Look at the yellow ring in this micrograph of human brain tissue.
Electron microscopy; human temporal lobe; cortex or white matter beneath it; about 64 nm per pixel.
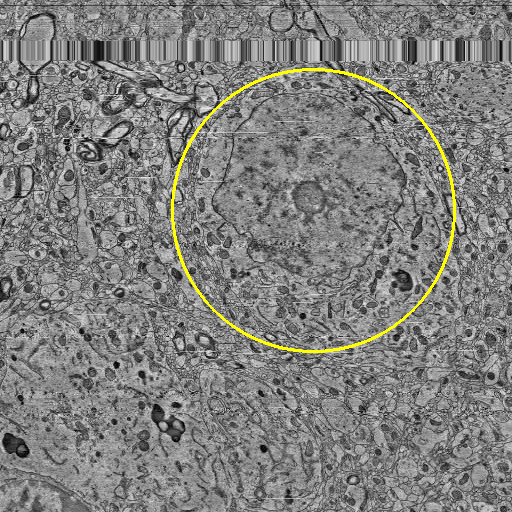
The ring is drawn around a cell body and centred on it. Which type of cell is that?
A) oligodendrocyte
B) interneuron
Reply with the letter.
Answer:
B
